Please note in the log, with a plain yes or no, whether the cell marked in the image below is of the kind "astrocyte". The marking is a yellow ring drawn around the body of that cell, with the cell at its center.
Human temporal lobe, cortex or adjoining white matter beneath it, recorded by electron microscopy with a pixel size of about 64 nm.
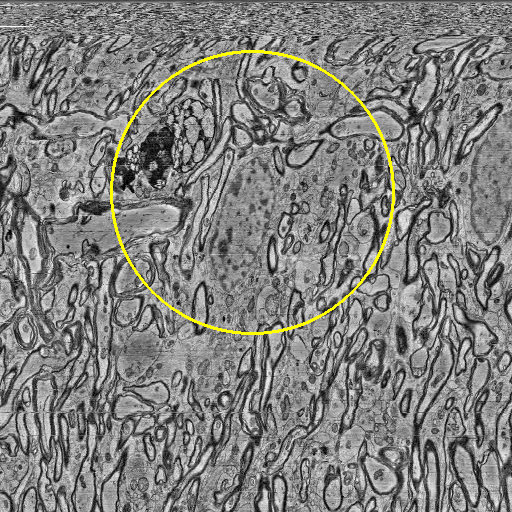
yes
